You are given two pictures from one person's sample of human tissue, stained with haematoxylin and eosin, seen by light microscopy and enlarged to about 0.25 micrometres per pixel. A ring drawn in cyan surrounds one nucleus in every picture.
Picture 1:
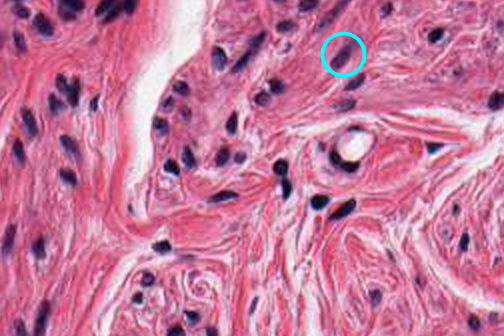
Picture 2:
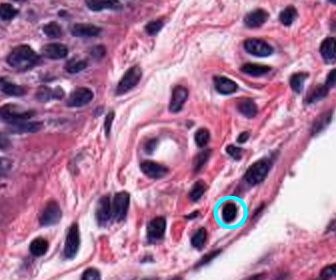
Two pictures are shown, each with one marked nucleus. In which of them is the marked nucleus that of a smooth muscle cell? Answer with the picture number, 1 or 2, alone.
1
